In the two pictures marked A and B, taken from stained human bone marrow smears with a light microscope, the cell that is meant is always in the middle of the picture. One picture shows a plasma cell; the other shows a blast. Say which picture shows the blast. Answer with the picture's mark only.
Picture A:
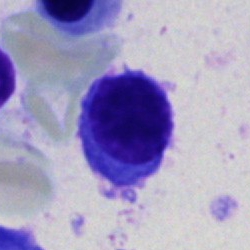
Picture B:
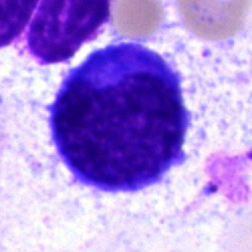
B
